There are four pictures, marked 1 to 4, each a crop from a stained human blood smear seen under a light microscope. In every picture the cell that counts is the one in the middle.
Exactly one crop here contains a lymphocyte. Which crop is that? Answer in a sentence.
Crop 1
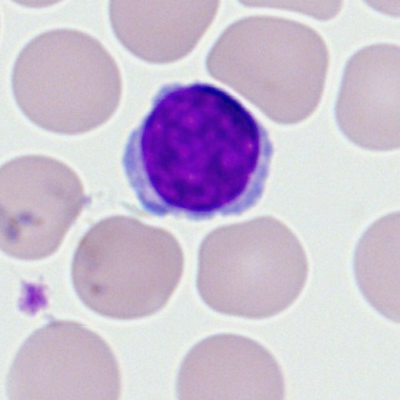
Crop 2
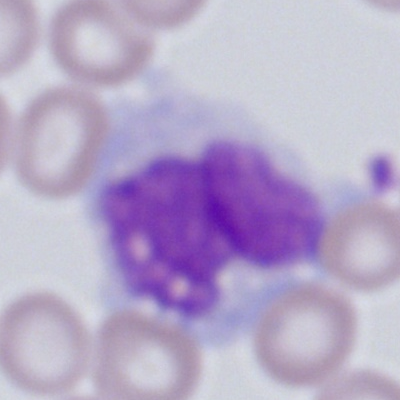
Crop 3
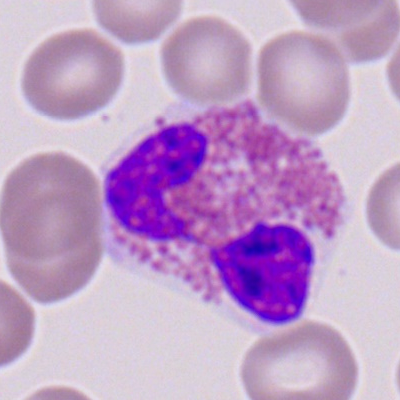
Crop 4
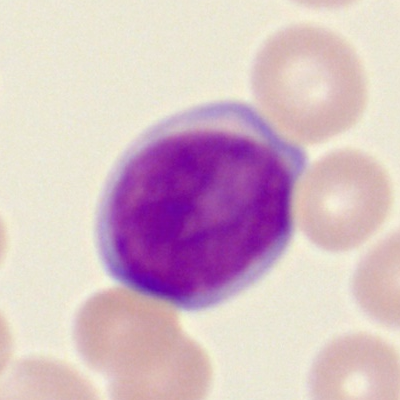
Crop 1 represents a lymphocyte, while the other crops do not.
